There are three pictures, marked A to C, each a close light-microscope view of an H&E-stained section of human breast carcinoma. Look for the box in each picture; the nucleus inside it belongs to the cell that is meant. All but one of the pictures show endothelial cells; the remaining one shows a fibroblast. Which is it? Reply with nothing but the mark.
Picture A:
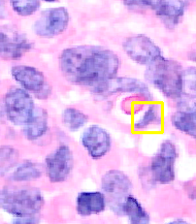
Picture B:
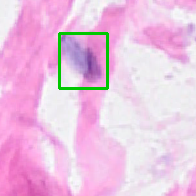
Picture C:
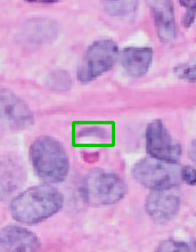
B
